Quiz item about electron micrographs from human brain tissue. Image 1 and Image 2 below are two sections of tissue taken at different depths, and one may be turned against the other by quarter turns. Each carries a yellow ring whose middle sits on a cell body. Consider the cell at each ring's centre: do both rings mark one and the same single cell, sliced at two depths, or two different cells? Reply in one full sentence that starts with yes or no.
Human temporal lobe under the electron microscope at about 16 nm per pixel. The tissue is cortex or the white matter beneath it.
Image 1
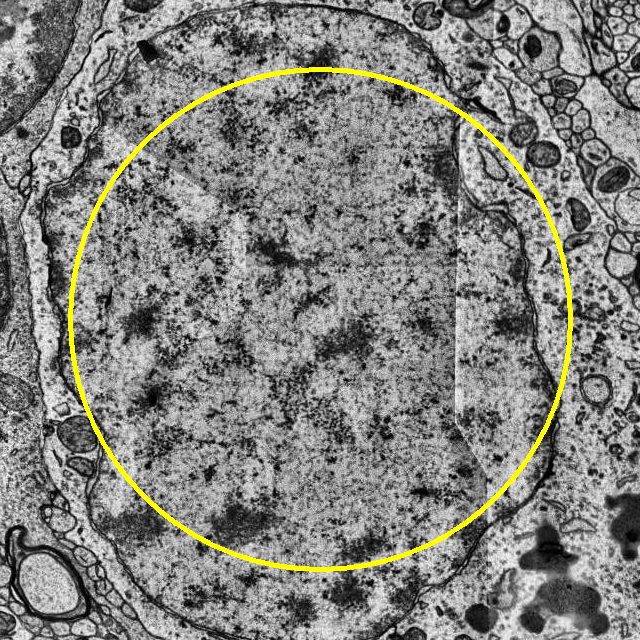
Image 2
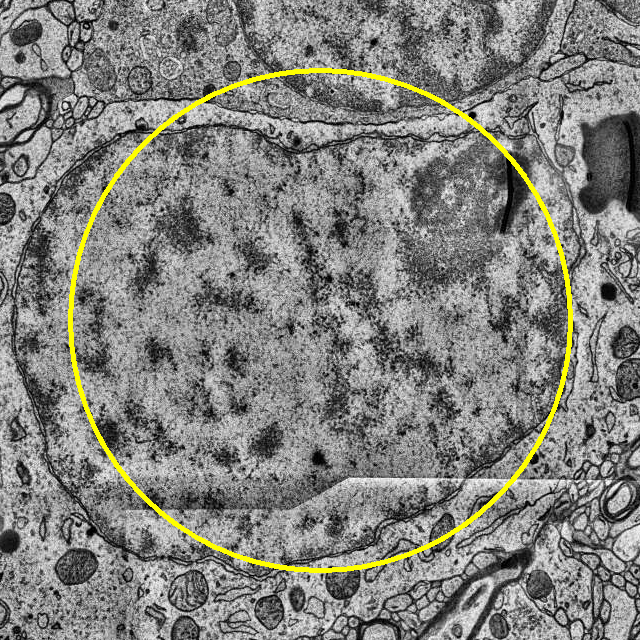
Yes, the second ring marks the same cell as the first.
